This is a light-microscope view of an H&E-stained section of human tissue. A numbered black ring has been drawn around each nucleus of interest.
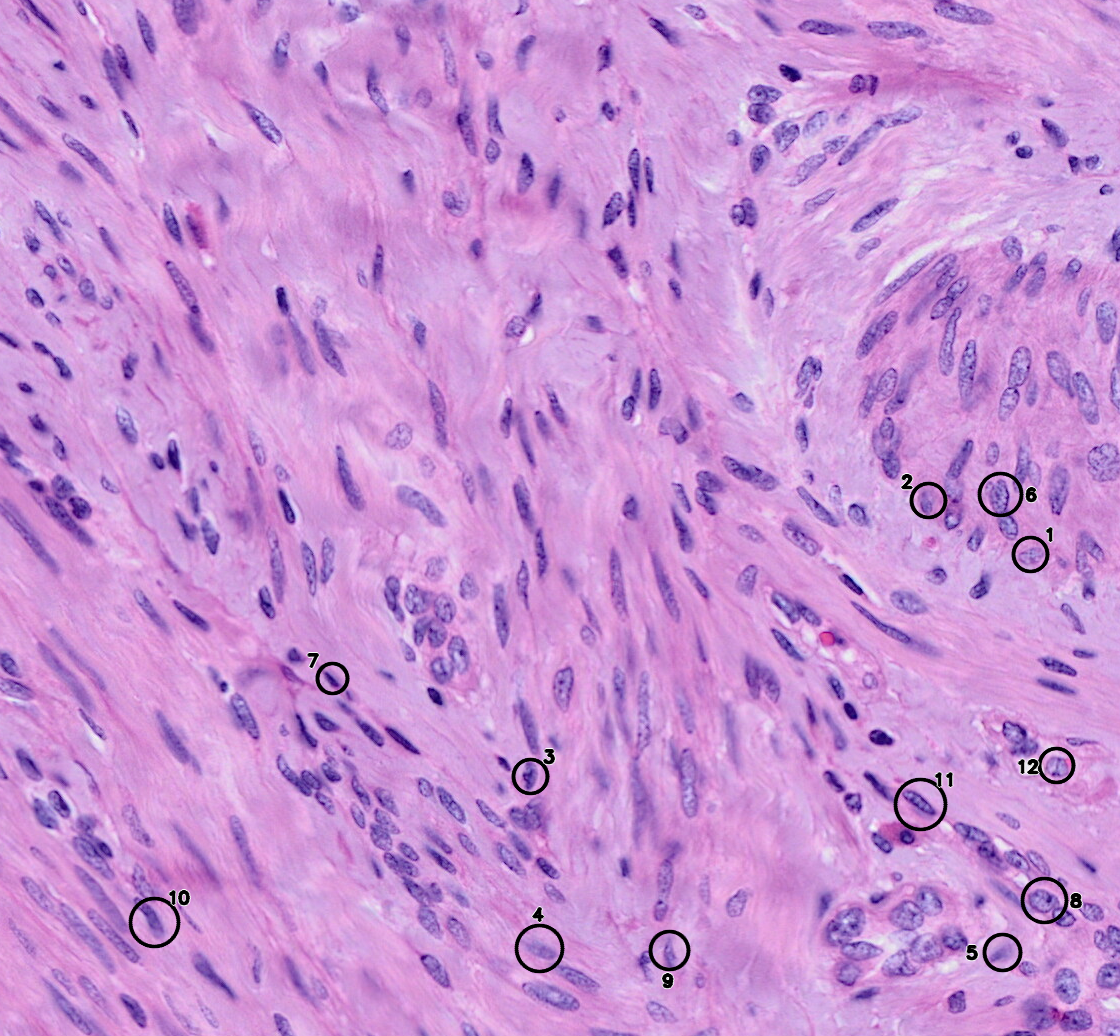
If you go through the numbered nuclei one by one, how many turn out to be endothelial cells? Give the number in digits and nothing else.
3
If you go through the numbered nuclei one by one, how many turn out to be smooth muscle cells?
5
